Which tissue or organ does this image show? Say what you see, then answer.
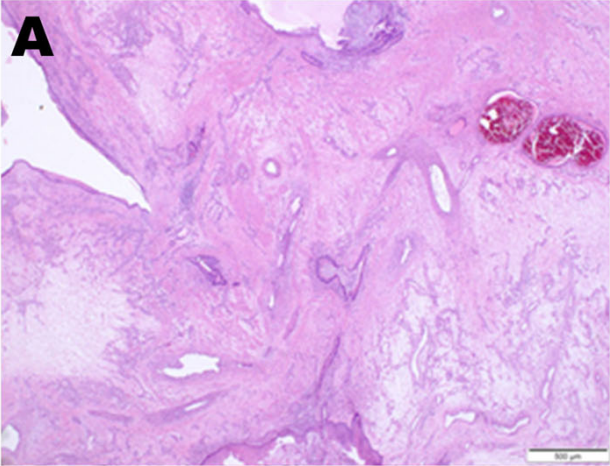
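Edematous or myxoid stroma. Thin strands and small islands of more densely stained epithelium lie within the pale tissue.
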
